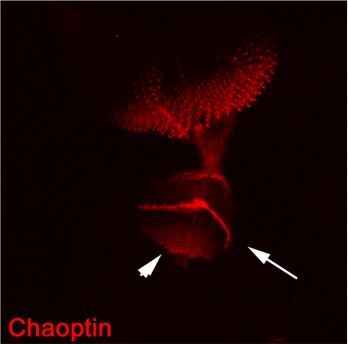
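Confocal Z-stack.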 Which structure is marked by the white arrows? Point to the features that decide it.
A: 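A bundle of fibres runs down from the eye disc. The fibres end in a thin bright curved band marked by the arrow.
Answer: lamina plexus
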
